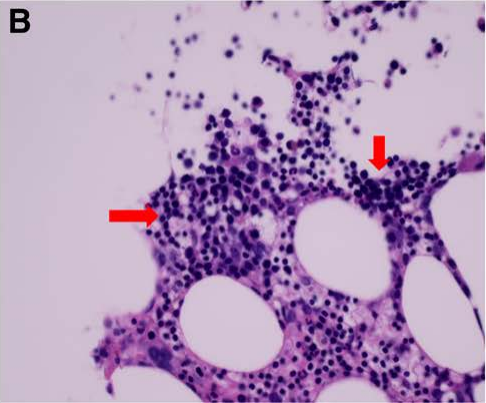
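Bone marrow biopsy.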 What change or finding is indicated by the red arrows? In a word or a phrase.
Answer: erythroid hyperplasia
